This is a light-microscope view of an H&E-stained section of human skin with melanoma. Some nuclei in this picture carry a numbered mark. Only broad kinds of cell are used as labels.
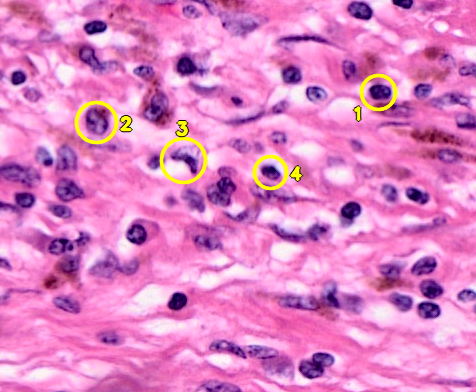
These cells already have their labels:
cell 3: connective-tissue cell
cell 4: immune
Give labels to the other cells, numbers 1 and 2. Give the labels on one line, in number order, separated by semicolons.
immune; immune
